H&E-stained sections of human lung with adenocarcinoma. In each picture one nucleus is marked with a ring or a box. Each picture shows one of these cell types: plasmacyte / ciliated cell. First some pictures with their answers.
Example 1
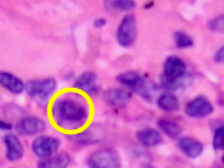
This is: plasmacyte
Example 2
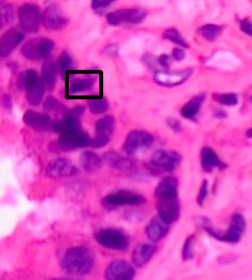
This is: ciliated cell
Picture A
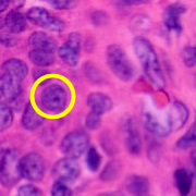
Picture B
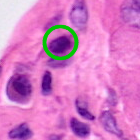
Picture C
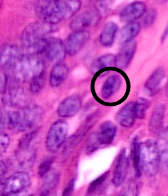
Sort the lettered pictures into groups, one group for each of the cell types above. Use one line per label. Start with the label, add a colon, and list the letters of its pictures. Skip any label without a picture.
plasmacyte: B
ciliated cell: A, C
